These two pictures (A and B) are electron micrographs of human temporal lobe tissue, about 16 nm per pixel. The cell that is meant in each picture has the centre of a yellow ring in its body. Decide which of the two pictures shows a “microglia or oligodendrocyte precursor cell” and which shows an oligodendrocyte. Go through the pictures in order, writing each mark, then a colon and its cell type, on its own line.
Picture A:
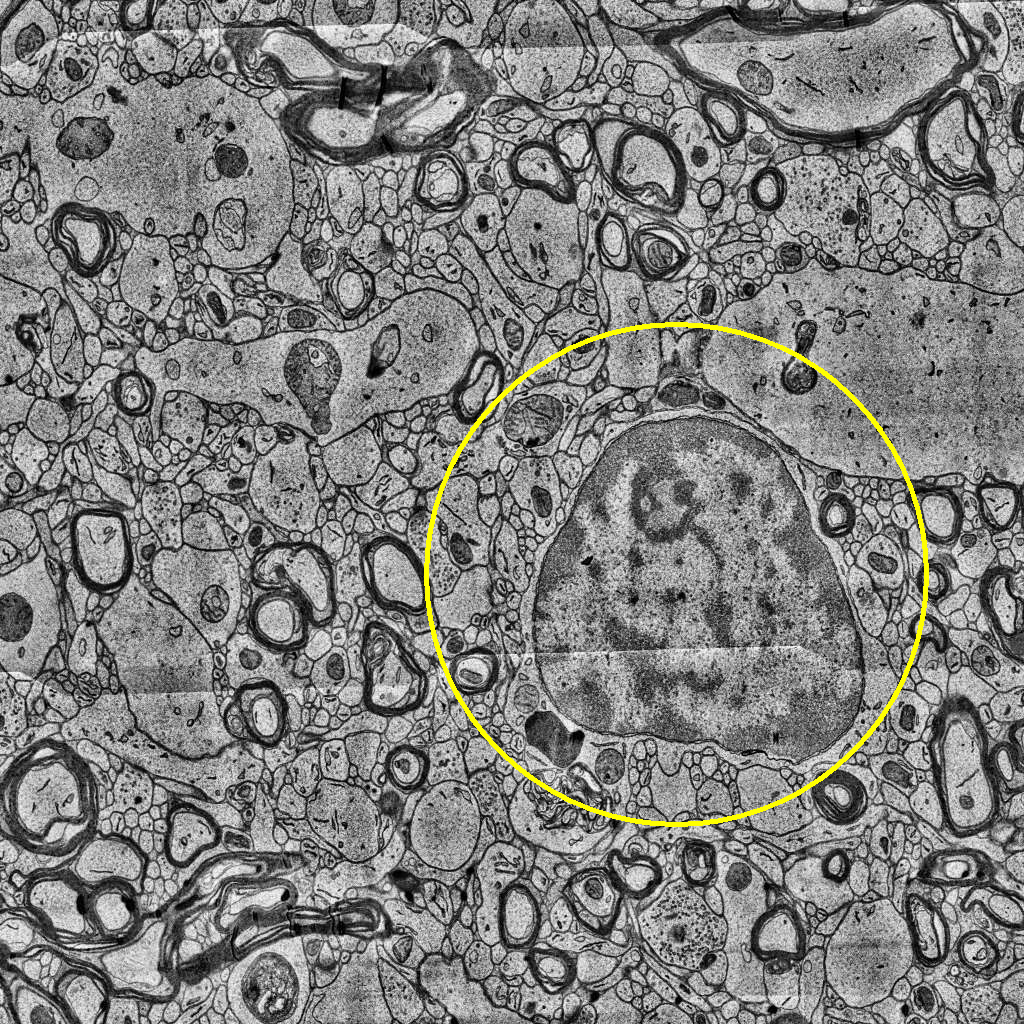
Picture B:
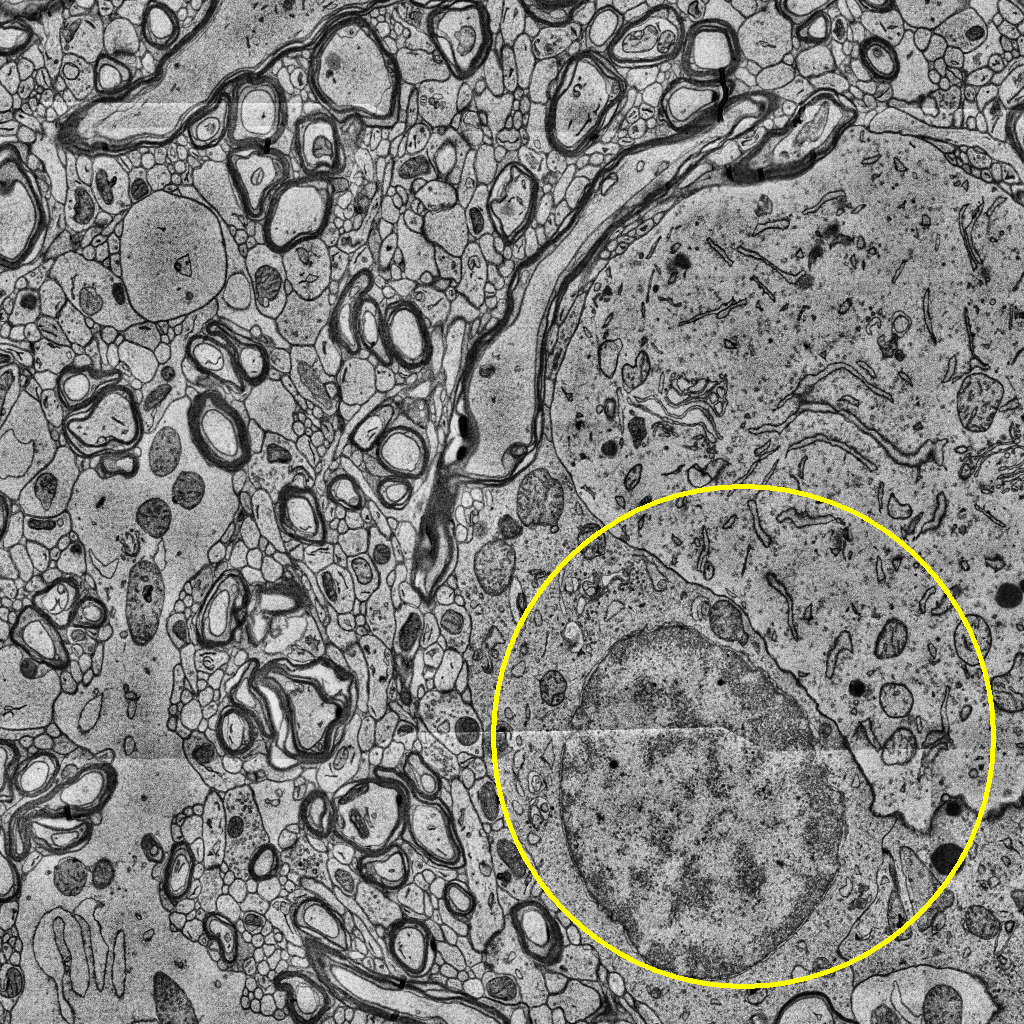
A: microglia or oligodendrocyte precursor cell
B: oligodendrocyte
